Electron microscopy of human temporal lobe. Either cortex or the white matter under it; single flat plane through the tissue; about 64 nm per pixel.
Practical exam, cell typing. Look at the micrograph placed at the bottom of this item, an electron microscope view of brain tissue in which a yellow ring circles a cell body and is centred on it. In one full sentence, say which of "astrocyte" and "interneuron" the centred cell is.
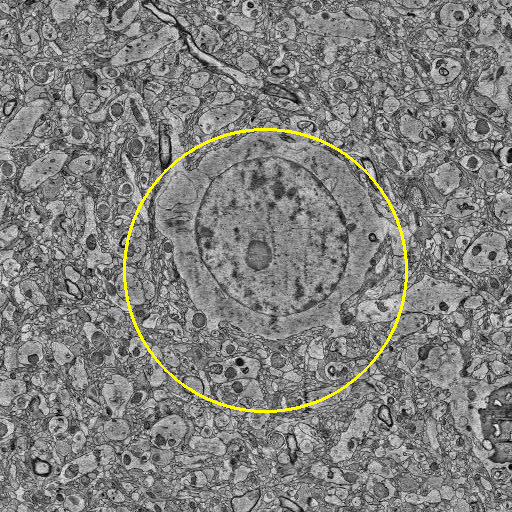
Given the options, an astrocyte fits the cell whose body the yellow ring is centred on.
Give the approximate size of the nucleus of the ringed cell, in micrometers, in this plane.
In this plane the nucleus is about 10 micrometres across.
